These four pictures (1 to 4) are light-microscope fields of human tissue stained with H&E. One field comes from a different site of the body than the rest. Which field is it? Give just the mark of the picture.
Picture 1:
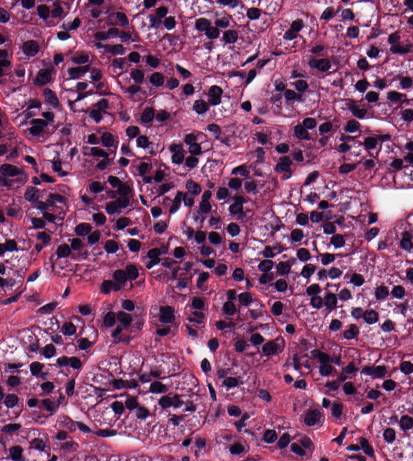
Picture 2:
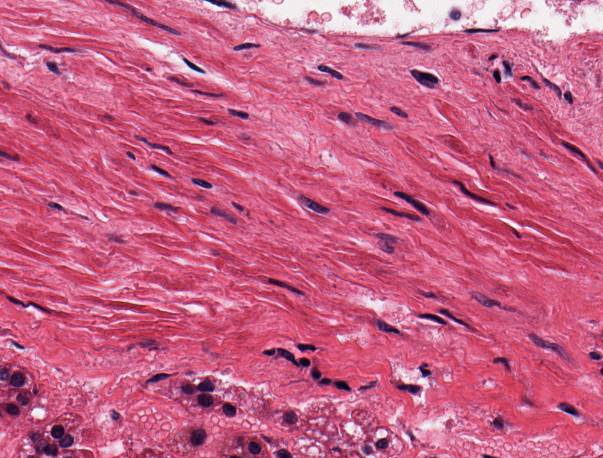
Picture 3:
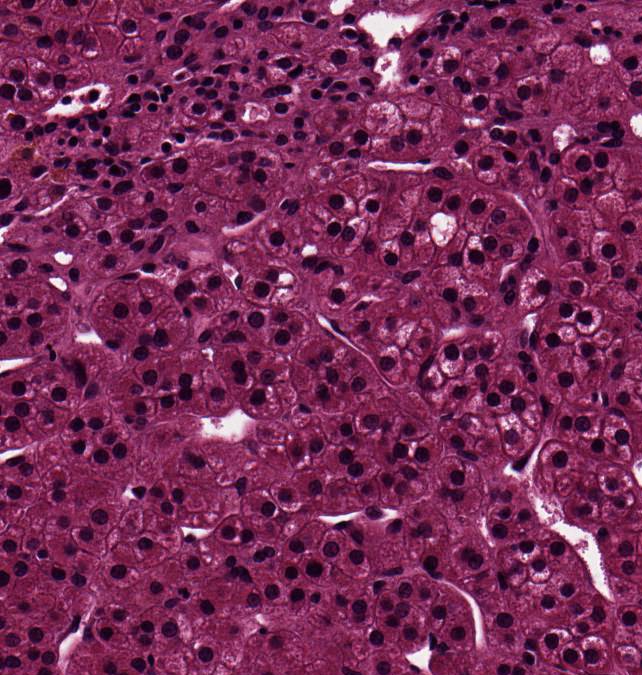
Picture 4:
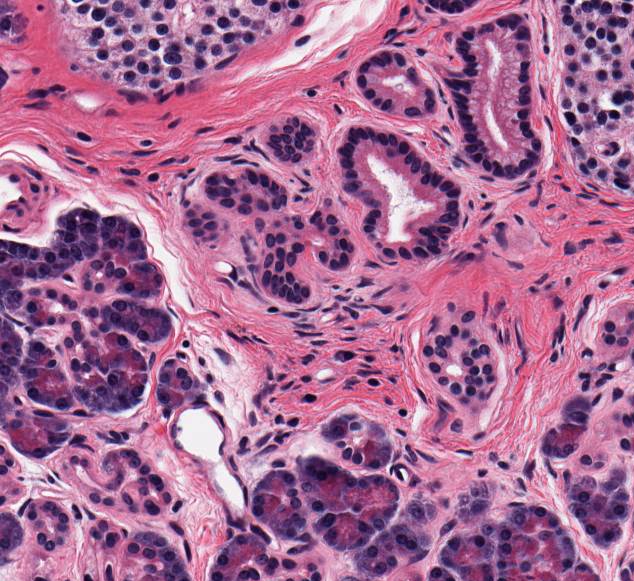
4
